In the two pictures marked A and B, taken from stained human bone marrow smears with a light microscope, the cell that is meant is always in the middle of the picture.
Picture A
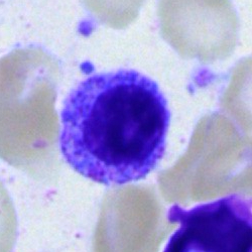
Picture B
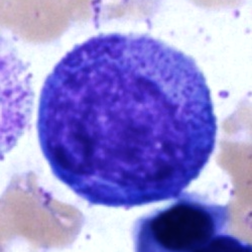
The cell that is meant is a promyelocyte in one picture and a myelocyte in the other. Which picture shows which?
A: myelocyte
B: promyelocyte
